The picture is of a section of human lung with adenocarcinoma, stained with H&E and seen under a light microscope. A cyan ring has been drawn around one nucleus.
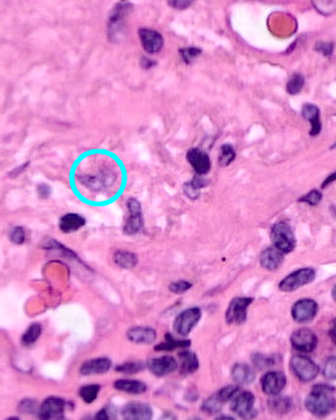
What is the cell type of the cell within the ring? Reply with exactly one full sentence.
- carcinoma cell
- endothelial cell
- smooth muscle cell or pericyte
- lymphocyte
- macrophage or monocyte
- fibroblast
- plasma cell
In this tissue section, the cell within the ring is to be classed as a fibroblast.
